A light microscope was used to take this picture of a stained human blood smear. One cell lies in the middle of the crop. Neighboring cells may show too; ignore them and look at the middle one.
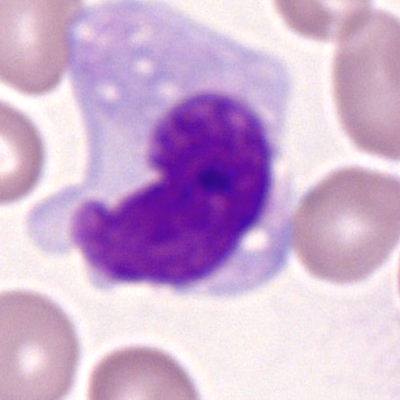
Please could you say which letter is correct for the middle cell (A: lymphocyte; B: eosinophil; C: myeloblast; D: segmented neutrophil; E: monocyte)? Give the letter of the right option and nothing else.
E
